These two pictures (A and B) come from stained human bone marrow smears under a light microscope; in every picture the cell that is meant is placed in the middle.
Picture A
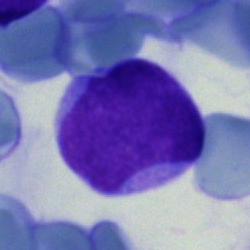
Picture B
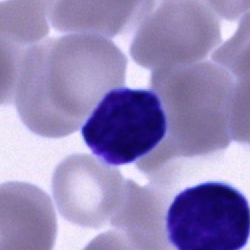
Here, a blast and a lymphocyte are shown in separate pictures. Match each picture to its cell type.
A: blast
B: lymphocyte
